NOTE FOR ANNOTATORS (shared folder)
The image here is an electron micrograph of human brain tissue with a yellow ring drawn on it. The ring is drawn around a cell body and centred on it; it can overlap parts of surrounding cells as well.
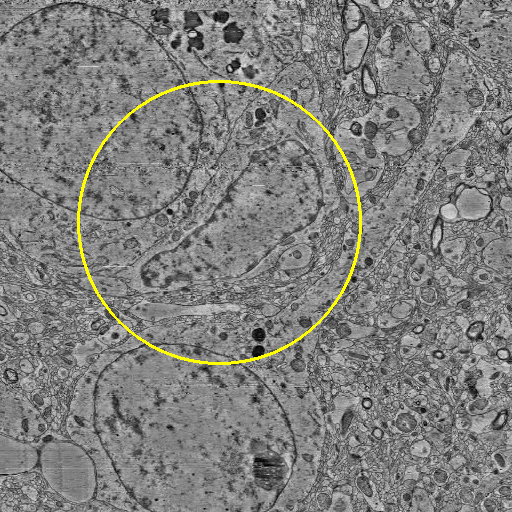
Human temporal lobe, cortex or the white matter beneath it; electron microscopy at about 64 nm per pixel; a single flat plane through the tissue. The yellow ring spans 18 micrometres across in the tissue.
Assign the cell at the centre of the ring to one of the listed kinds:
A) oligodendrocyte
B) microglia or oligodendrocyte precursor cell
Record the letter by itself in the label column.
B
